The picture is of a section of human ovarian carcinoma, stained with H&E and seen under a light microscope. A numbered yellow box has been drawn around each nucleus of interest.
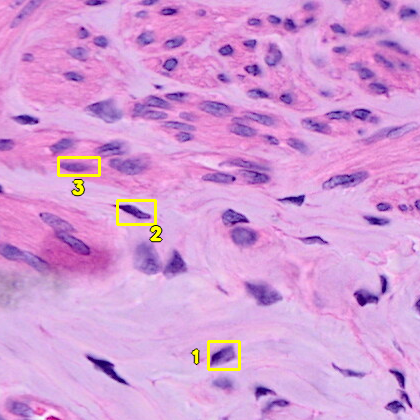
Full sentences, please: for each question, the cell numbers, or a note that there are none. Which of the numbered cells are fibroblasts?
Each of the cells numbered 1 and 2 is among the fibroblasts.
